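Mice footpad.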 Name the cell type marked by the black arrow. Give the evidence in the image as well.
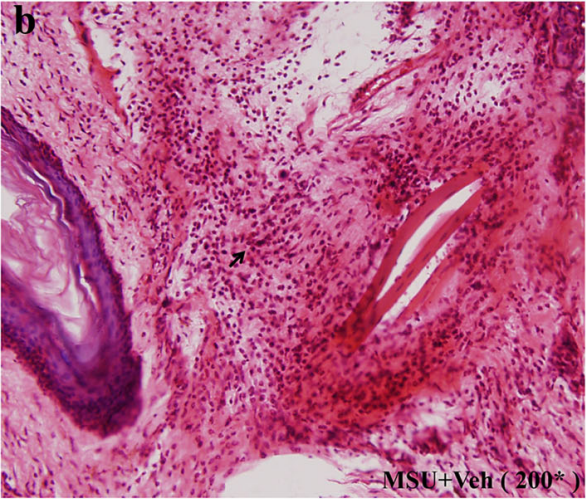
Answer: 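The arrow points into a dense cluster of small cells with round, dark purple nuclei. These crowded cells lie in the pink connective tissue beneath the epidermis.
Answer: inflammatory cells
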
